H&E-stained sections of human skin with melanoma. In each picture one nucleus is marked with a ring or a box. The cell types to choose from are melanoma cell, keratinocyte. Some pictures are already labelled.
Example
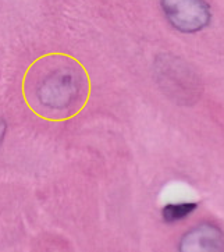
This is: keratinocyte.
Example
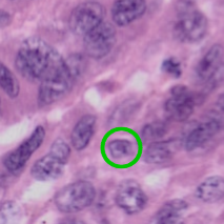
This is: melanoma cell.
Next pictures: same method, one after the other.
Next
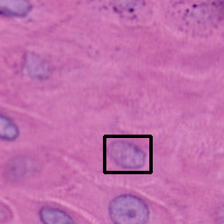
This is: keratinocyte.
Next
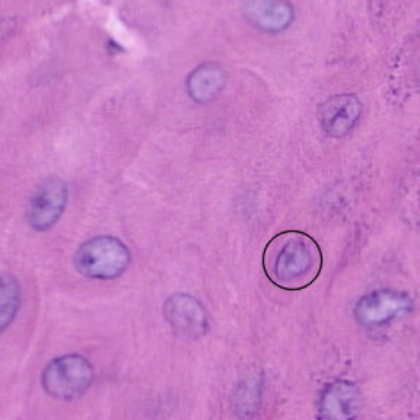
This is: keratinocyte.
